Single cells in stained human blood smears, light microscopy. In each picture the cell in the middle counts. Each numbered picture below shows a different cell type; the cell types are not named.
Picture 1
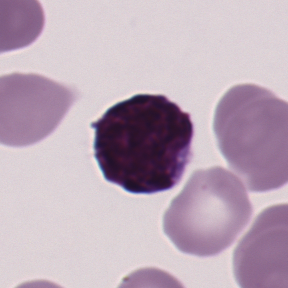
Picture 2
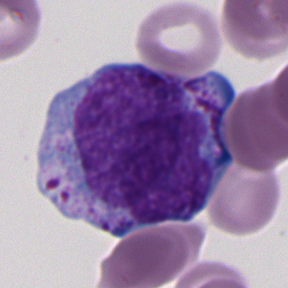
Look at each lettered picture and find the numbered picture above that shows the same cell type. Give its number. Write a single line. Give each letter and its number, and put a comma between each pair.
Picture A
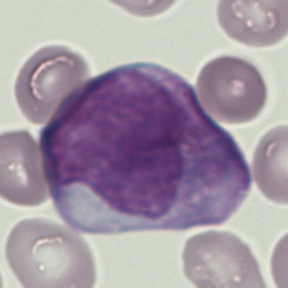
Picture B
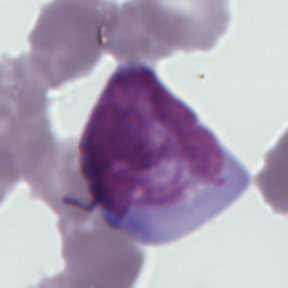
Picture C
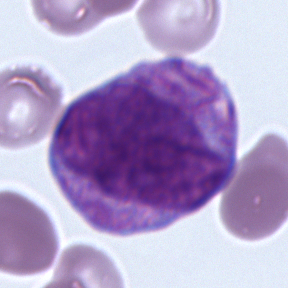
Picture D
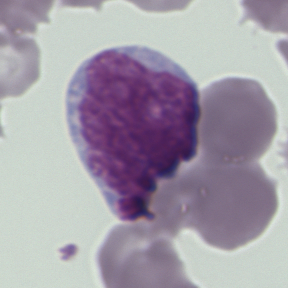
A 2, B 1, C 2, D 1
